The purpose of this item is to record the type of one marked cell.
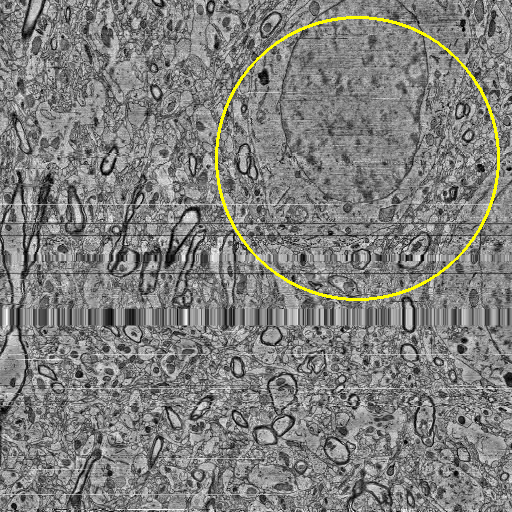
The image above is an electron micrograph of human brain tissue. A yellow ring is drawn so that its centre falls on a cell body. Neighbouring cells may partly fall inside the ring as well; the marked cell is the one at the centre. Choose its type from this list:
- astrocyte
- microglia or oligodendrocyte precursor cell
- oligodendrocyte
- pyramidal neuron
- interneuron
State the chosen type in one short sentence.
What the ring marks here is a pyramidal neuron.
